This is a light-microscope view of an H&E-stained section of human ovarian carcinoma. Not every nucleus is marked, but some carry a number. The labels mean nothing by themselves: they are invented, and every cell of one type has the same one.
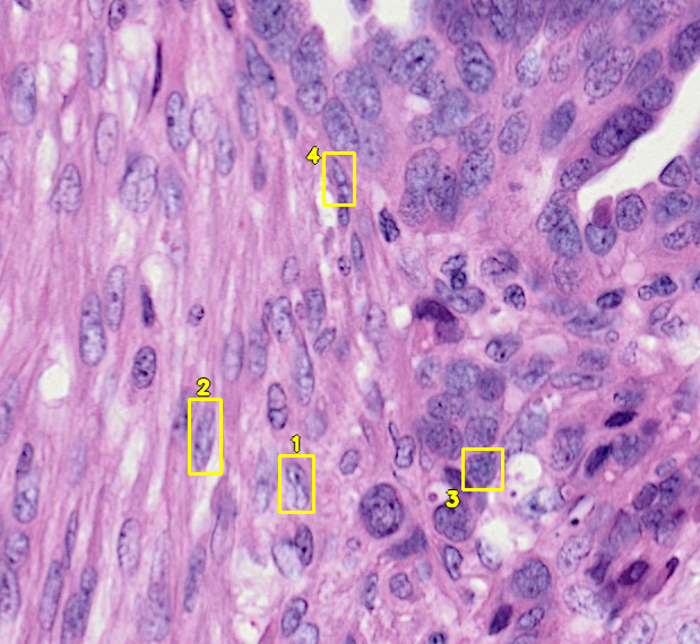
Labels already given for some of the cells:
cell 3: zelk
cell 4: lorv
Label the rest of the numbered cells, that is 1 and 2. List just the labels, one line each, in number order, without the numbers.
lorv
lorv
